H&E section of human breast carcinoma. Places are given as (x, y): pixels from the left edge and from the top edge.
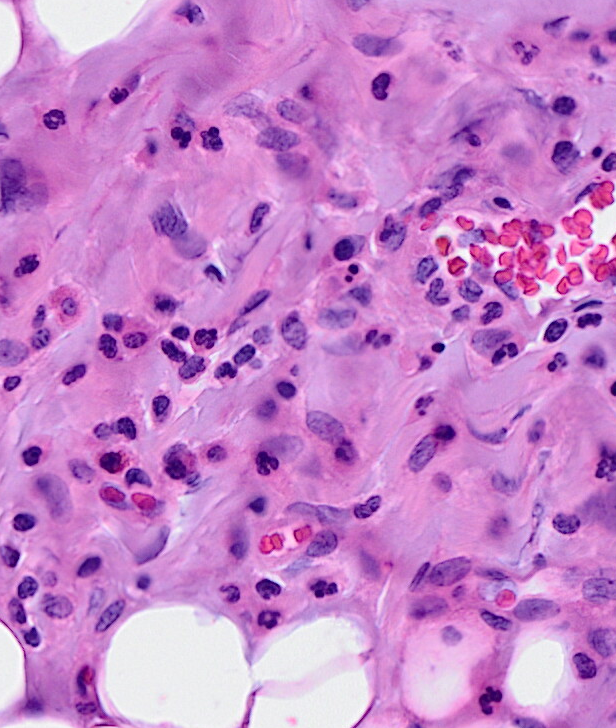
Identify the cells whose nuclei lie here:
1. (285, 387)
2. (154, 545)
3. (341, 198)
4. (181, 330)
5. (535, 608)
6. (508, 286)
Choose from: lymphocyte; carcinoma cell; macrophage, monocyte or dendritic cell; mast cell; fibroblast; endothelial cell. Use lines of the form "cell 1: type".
cell 1: lymphocyte
cell 2: fibroblast
cell 3: mast cell
cell 4: lymphocyte
cell 5: endothelial cell
cell 6: endothelial cell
